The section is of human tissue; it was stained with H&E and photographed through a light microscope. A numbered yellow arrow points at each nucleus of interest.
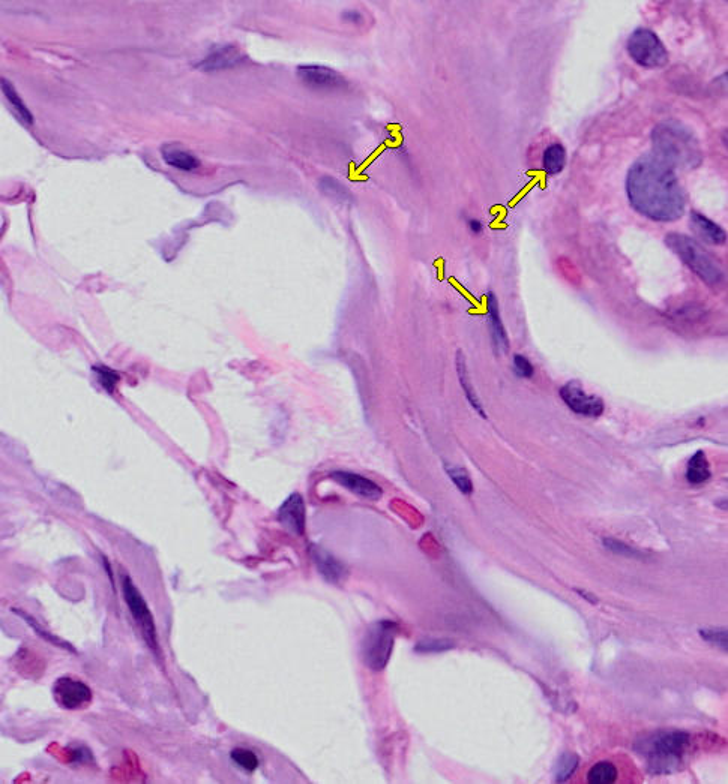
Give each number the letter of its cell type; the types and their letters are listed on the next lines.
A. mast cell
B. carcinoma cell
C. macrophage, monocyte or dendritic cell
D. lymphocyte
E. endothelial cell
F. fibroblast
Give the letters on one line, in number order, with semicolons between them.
F; A; F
